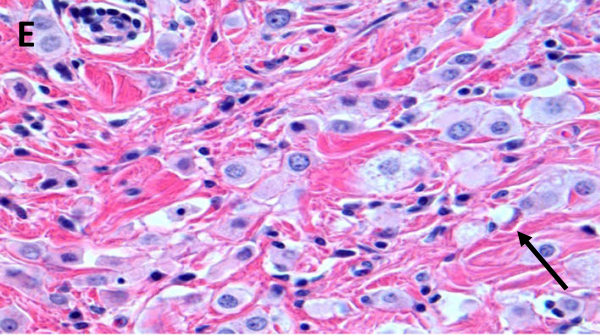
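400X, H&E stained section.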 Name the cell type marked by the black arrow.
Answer: Signet ring cell.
